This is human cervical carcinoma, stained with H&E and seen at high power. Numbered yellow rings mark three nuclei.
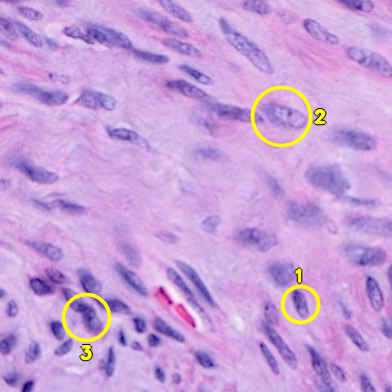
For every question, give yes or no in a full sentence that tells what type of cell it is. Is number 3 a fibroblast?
Yes, it checks out; the cell labelled 3 is a fibroblast.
